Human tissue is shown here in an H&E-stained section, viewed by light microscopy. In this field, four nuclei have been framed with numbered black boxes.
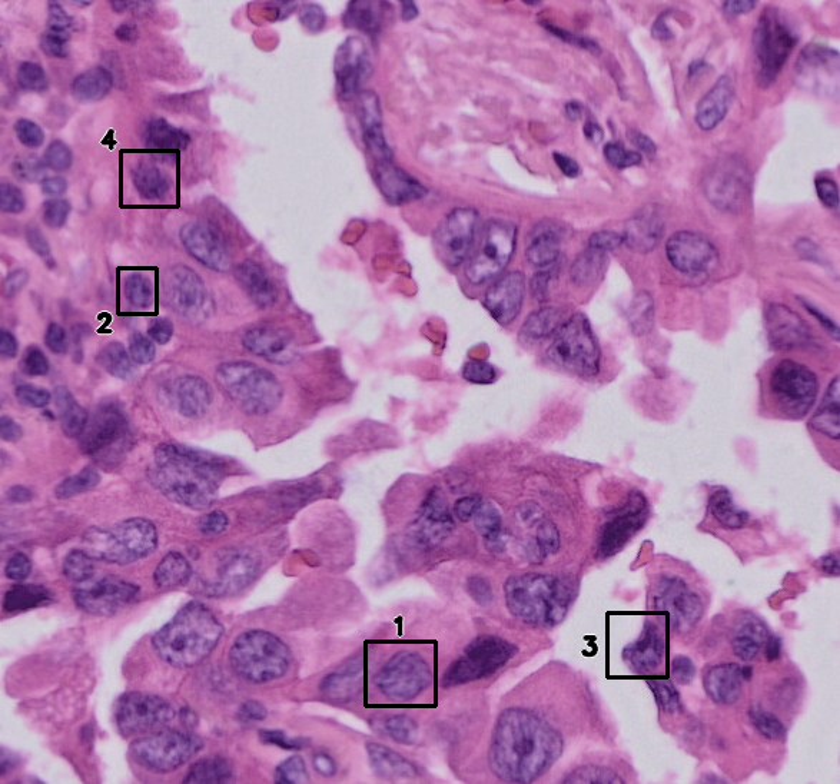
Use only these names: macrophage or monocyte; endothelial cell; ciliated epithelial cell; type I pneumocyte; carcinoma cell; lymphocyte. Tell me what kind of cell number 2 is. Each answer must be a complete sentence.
The nucleus marked 2 is the nucleus of a lymphocyte.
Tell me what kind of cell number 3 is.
Regarding cell 3, this one is a carcinoma cell.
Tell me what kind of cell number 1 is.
Marked with the number 1, this cell is a carcinoma cell.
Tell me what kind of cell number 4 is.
Among the marked nuclei, number 4 belongs to a carcinoma cell.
